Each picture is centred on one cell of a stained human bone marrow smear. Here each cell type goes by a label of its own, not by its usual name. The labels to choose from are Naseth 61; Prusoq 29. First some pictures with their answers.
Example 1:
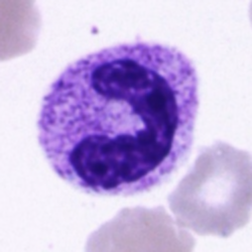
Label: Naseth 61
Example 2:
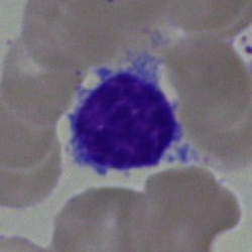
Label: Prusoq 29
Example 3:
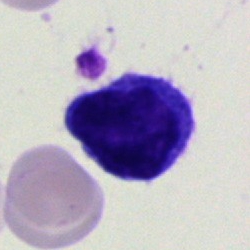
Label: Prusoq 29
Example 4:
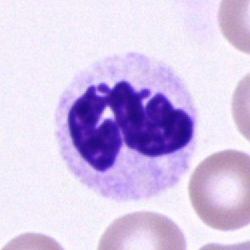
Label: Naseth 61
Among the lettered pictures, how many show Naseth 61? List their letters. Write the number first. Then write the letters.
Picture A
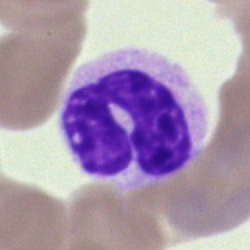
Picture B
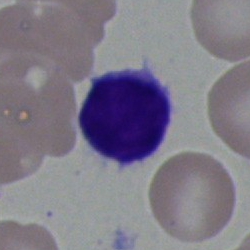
1, namely A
